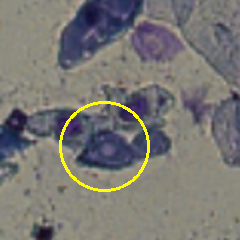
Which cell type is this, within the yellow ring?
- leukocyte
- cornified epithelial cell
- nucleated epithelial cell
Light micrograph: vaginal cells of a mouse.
Within the ring is a nucleated epithelial cell.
